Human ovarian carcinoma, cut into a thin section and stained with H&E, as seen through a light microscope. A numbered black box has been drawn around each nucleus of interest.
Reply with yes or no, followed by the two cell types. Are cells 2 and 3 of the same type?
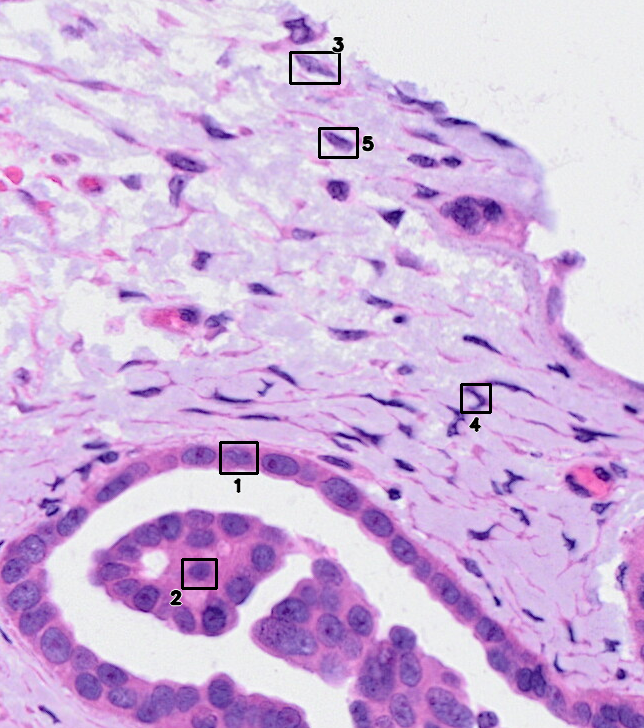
No, cell 2 is a carcinoma cell and cell 3 is a fibroblast.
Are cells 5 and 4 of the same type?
Yes, both are fibroblasts.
